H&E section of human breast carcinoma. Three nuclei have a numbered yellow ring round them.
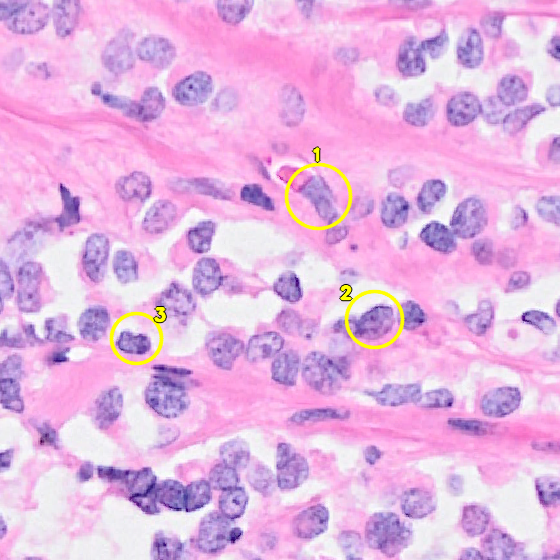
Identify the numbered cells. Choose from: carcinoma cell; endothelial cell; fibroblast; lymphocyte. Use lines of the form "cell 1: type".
cell 1: endothelial cell
cell 2: carcinoma cell
cell 3: carcinoma cell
